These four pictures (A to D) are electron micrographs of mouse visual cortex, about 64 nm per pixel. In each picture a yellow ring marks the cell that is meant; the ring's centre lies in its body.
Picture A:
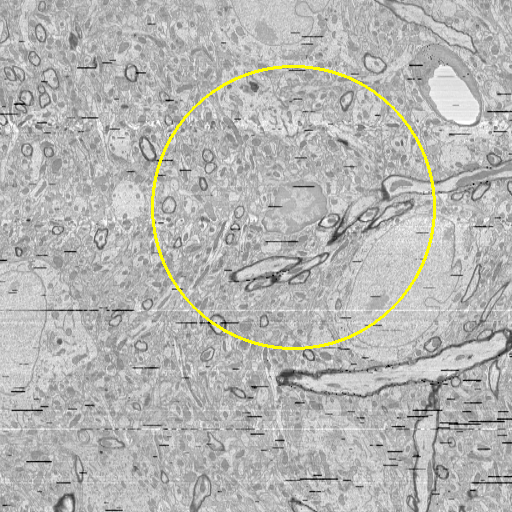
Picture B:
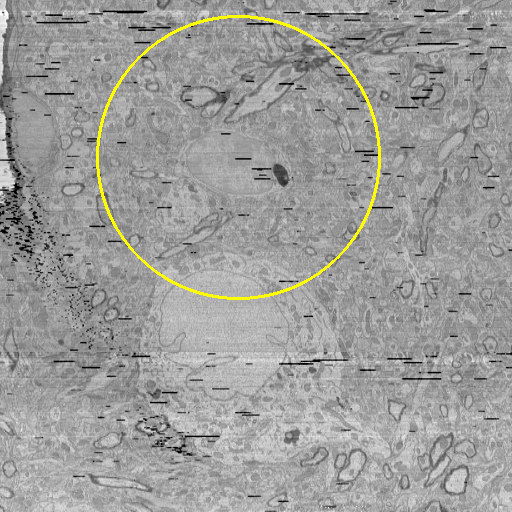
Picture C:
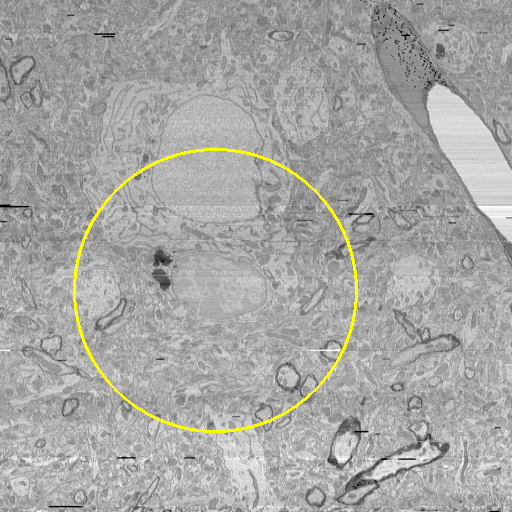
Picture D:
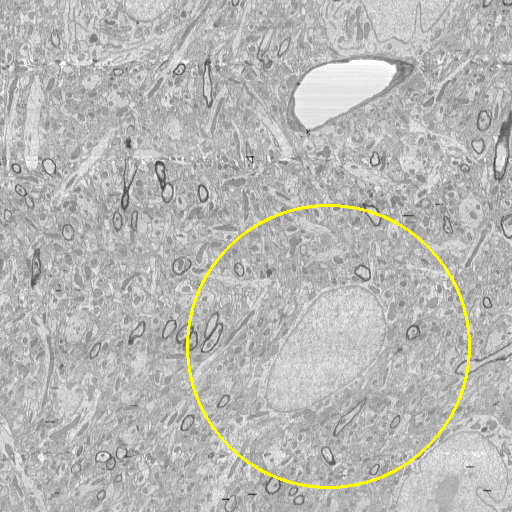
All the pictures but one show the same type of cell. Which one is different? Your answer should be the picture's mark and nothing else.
D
